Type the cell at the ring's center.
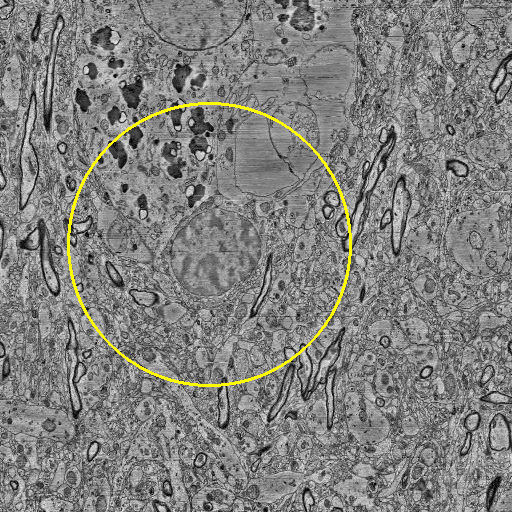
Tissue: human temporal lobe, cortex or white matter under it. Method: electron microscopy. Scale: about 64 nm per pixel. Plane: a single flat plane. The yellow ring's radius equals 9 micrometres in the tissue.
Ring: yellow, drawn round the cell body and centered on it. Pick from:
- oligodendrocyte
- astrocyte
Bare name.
oligodendrocyte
